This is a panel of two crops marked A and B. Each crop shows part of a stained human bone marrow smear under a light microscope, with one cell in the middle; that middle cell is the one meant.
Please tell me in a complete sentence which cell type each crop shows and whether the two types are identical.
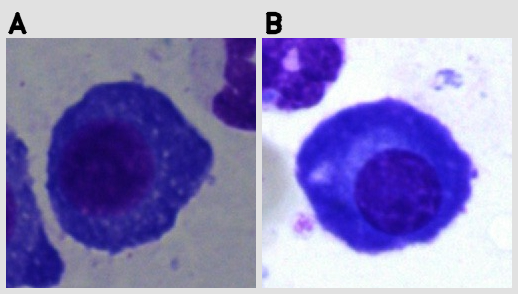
Yes, as shown in both crops, the central cells are plasma cells.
